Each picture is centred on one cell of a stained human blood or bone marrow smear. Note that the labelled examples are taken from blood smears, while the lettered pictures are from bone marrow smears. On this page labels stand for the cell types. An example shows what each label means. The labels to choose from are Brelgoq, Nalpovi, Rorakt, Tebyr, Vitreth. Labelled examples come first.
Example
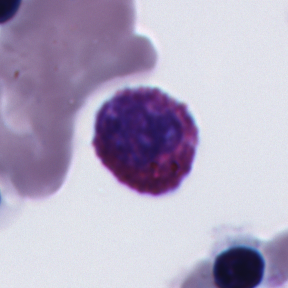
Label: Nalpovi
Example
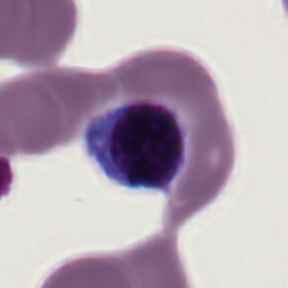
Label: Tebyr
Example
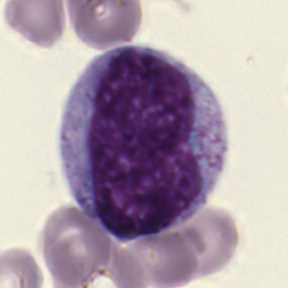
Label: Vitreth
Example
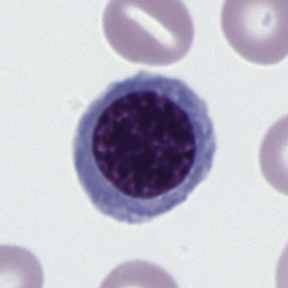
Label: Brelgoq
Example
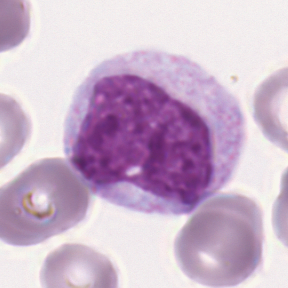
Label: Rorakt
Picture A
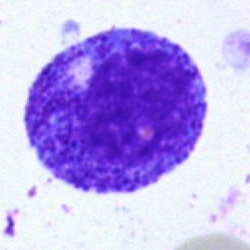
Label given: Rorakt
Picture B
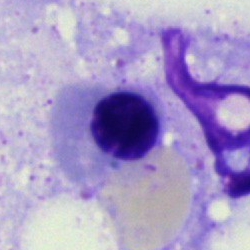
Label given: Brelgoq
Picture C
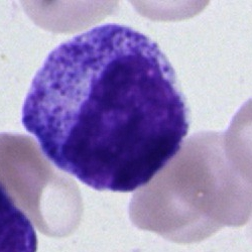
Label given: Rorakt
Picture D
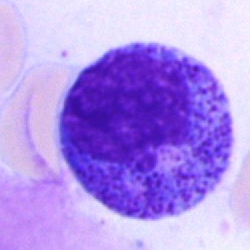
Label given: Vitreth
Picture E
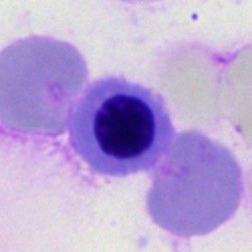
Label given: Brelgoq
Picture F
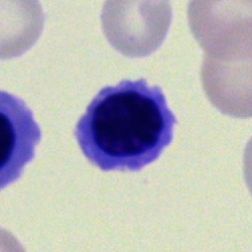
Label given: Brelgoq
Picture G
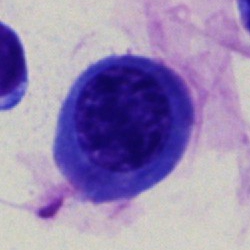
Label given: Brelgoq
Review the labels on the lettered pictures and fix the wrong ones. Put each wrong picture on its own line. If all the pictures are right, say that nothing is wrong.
A should be Vitreth, not Rorakt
